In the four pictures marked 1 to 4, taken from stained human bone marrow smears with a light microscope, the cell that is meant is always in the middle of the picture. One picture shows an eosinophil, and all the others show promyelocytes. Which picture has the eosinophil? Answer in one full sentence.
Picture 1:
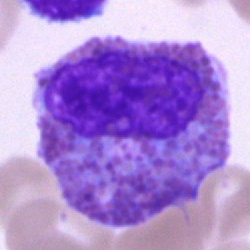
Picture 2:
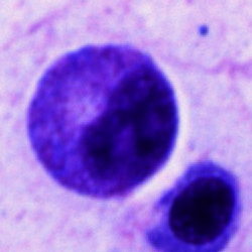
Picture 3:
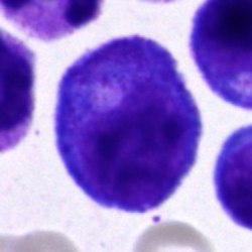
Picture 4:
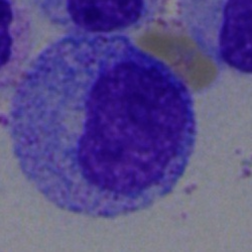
The picture with the eosinophil is 1.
